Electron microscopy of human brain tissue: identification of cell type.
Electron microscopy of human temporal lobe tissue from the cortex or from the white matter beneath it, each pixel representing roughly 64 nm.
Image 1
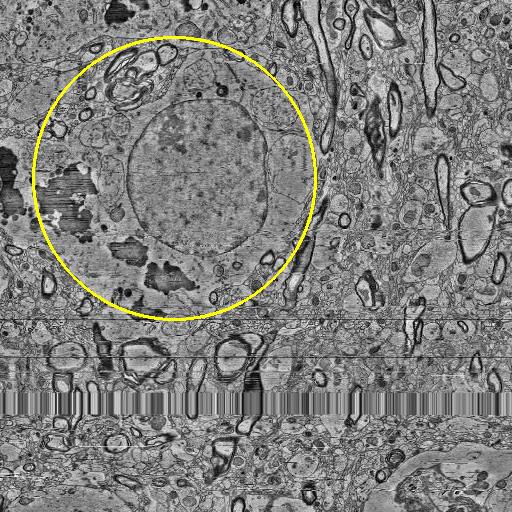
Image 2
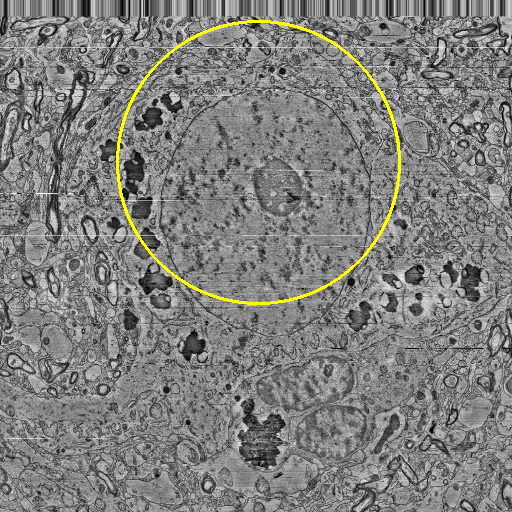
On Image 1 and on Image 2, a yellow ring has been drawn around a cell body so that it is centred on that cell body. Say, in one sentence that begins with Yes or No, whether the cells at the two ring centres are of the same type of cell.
No, the two cells are two separate types of cell.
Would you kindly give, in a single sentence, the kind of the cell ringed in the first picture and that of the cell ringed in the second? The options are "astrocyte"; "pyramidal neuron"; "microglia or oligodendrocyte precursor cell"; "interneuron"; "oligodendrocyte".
The second cell is a pyramidal neuron, and the first cell is an astrocyte.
